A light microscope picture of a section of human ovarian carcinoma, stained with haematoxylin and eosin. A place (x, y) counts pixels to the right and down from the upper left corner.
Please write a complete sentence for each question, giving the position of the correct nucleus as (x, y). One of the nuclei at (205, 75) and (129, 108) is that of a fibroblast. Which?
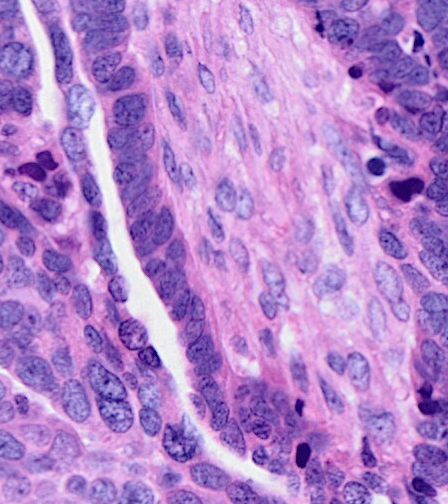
Of the two options, the nucleus at (205, 75) is the one that belongs to a fibroblast.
